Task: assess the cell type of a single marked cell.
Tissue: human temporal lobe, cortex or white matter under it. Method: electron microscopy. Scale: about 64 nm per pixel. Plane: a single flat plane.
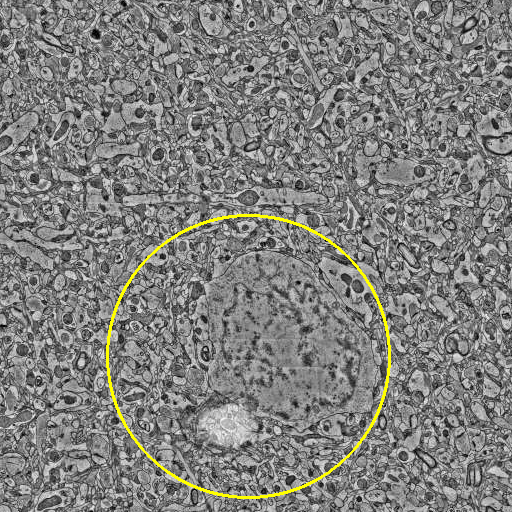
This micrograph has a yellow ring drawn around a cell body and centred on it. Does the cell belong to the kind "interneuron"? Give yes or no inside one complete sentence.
Yes, the marked cell at the centre of the ring belongs to that kind.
